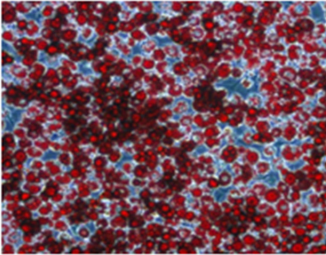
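Cultured mature adipocytes crowd the field, each rounded cell filled with numerous red-stained lipid droplets of varying size. The droplet-laden cells lie densely packed in clusters, with only small bluish gaps of background between them.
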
